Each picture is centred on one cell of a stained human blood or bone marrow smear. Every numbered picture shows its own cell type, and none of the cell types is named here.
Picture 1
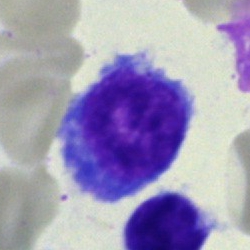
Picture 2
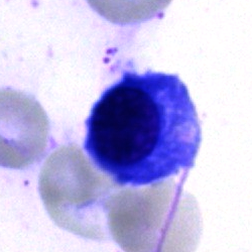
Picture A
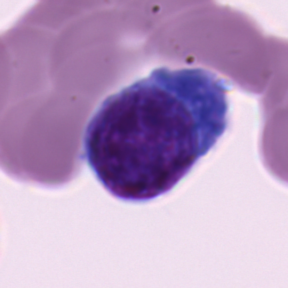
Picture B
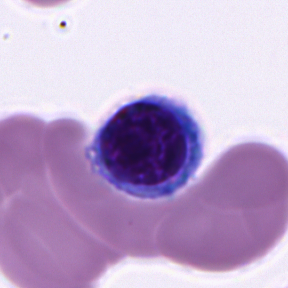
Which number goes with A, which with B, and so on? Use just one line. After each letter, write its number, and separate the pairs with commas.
A 2, B 2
